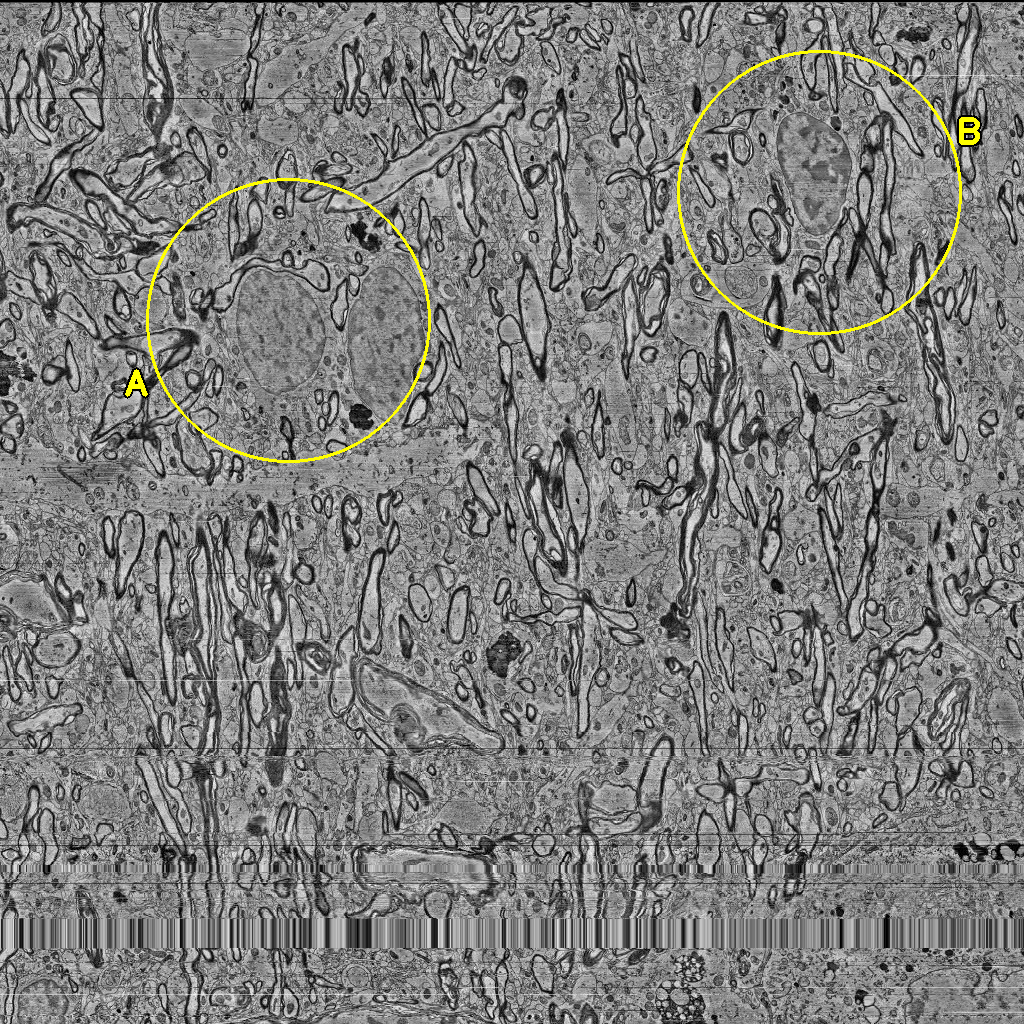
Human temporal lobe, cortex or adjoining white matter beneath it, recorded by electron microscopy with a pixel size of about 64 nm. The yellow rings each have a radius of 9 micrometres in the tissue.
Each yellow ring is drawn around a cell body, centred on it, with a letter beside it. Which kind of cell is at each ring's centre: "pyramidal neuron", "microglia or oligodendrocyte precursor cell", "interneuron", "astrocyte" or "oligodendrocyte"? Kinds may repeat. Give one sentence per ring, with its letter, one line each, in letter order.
Ring A is centred on an oligodendrocyte.
Ring B is centred on a microglial cell or oligodendrocyte precursor cell.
